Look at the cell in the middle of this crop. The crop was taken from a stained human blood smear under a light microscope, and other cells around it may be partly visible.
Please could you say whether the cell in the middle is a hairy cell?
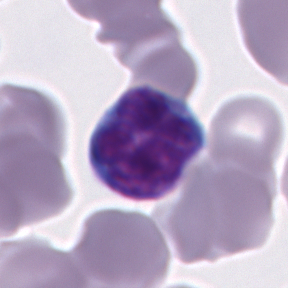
no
